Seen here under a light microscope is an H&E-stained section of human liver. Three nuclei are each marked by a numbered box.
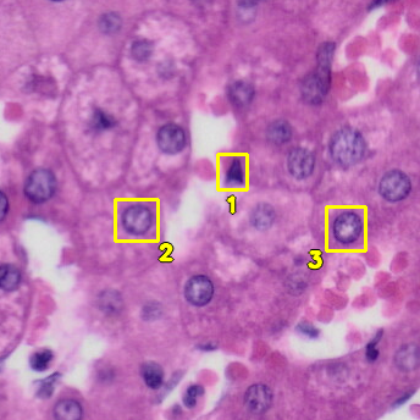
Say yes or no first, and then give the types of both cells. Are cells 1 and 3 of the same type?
No, cell 1 is a fibroblast or stellate cell; cell 3 is a hepatocyte.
